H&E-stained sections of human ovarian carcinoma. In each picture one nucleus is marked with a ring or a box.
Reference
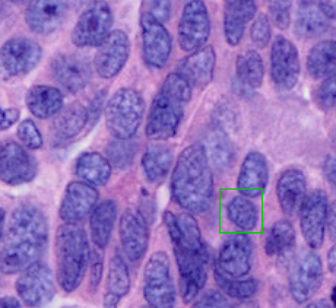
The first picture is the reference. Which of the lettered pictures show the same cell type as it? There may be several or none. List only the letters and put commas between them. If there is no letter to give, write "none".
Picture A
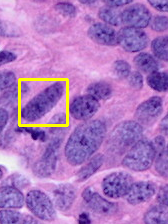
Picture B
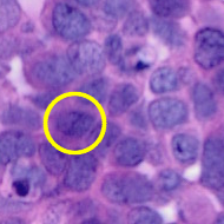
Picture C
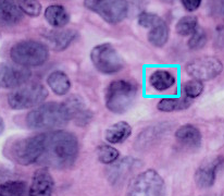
A, B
